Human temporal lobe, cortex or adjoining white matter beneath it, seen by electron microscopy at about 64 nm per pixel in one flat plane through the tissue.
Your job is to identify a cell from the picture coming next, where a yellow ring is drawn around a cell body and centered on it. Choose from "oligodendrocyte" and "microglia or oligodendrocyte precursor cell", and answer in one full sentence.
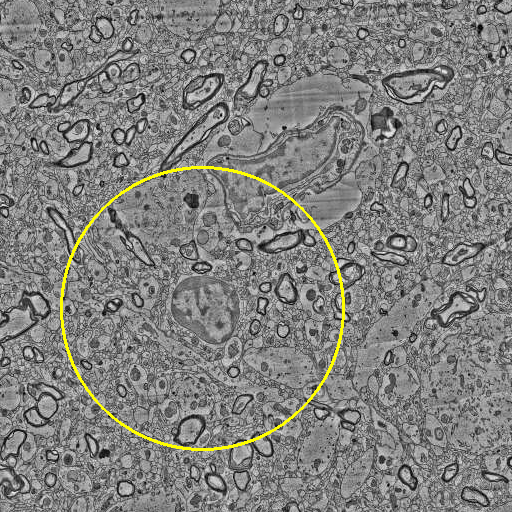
Centered in the yellow ring of the picture is the body of a microglial cell or oligodendrocyte precursor cell.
